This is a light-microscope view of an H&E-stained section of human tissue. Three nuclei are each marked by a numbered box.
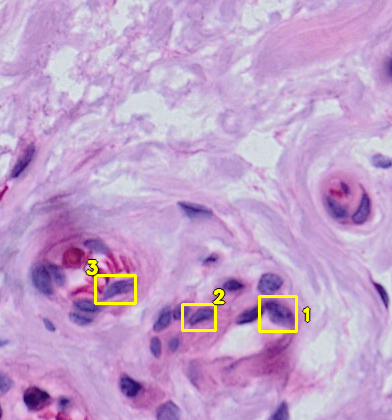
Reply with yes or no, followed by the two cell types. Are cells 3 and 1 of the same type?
Yes, as for cells 3 and 1, both are endothelial cells.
